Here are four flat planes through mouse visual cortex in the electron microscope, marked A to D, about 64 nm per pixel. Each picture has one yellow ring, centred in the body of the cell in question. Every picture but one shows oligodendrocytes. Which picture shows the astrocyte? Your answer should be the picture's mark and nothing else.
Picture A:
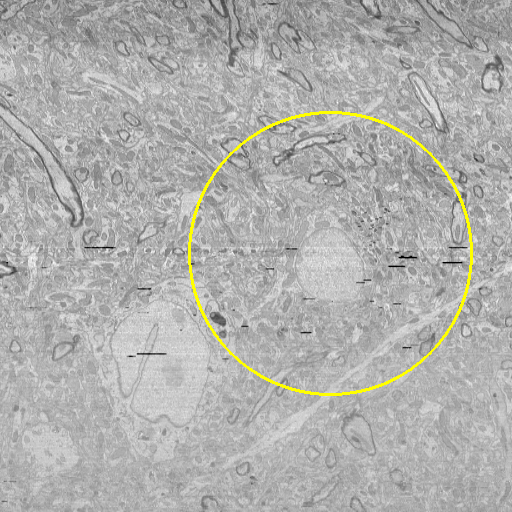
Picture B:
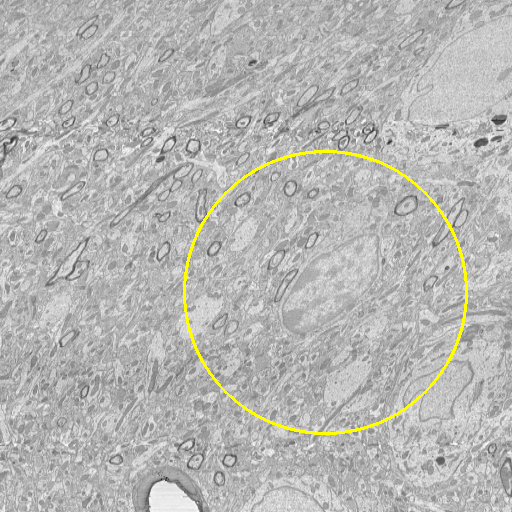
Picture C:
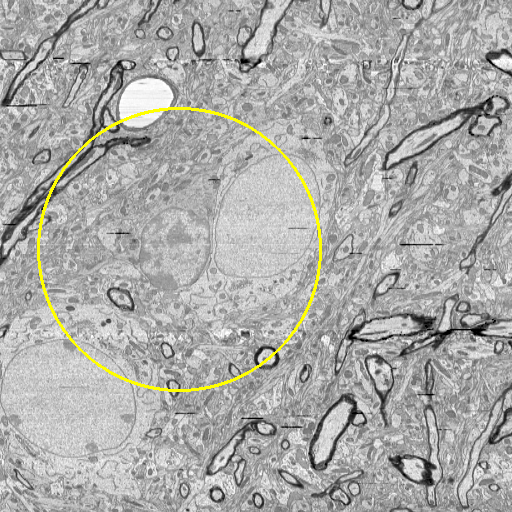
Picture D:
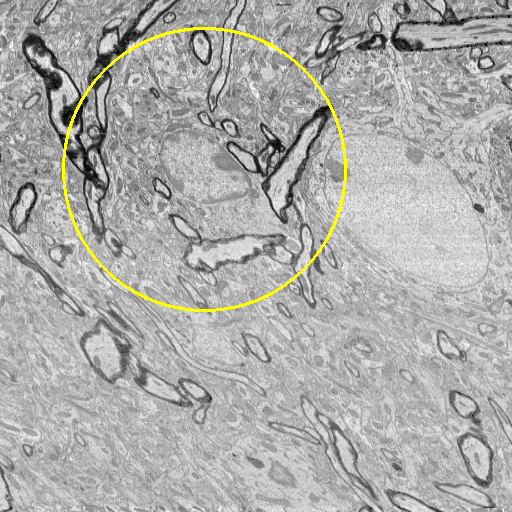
A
